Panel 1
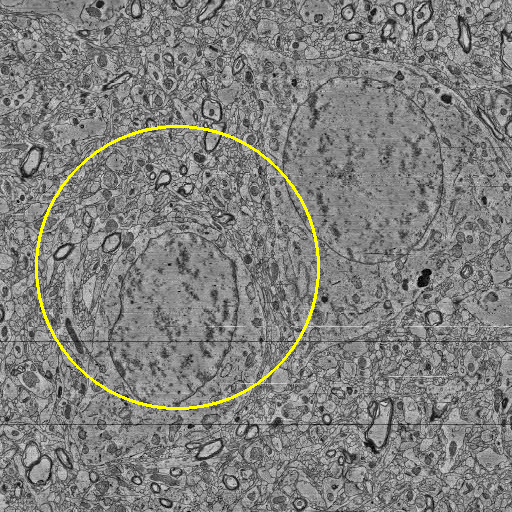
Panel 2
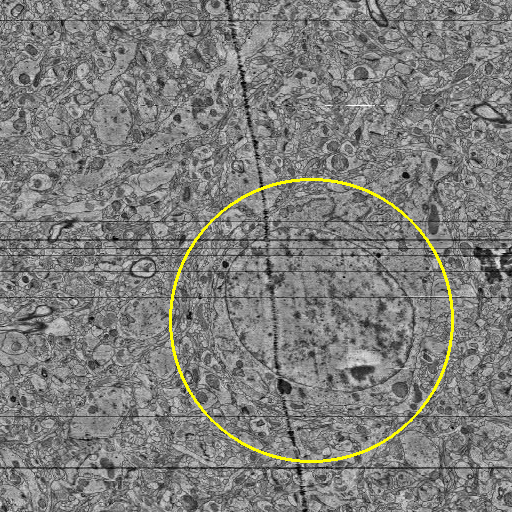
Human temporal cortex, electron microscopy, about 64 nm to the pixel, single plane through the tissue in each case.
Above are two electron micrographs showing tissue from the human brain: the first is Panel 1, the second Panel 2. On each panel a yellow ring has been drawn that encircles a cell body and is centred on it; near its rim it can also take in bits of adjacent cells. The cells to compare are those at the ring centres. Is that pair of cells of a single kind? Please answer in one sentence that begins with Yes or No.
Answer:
Yes, the ring-centred cells of Panel 1 and Panel 2 belong to one kind.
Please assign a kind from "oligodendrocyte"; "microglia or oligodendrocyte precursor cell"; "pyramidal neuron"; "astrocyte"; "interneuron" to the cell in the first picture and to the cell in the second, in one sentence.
Each of the ringed cells, first and second, is a pyramidal neuron.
